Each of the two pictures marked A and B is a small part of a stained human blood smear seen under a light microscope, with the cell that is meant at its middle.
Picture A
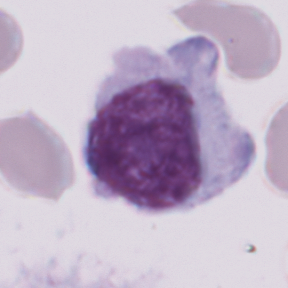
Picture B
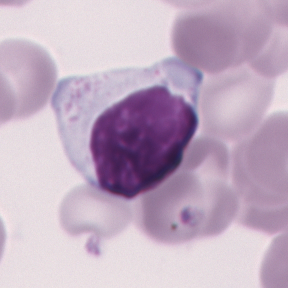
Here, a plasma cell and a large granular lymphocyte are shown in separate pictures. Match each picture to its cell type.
A: plasma cell
B: large granular lymphocyte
